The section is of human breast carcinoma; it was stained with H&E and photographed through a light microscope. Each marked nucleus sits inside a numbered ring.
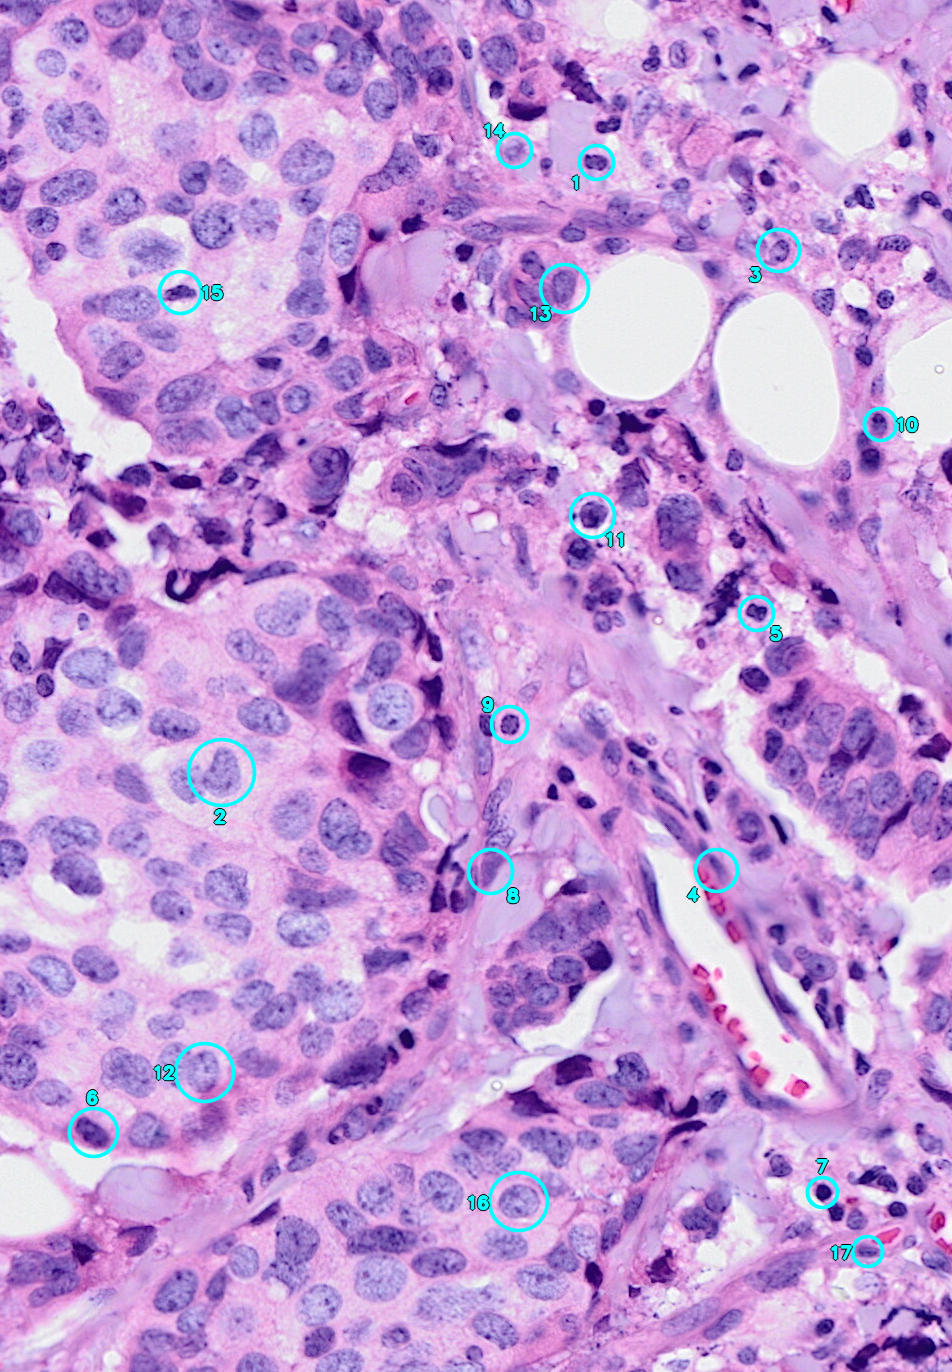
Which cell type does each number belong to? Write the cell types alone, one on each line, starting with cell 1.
lymphocyte
carcinoma cell
macrophage, monocyte or dendritic cell
endothelial cell
lymphocyte
carcinoma cell
lymphocyte
endothelial cell
lymphocyte
mast cell
carcinoma cell
carcinoma cell
carcinoma cell
macrophage, monocyte or dendritic cell
lymphocyte
carcinoma cell
endothelial cell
